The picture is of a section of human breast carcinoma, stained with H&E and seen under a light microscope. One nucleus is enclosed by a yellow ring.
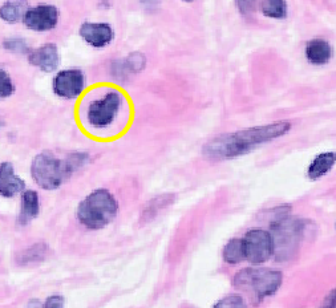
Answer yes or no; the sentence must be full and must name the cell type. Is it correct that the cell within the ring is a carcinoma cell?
No, the cell within the ring is not a carcinoma cell, being instead a lymphocyte.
